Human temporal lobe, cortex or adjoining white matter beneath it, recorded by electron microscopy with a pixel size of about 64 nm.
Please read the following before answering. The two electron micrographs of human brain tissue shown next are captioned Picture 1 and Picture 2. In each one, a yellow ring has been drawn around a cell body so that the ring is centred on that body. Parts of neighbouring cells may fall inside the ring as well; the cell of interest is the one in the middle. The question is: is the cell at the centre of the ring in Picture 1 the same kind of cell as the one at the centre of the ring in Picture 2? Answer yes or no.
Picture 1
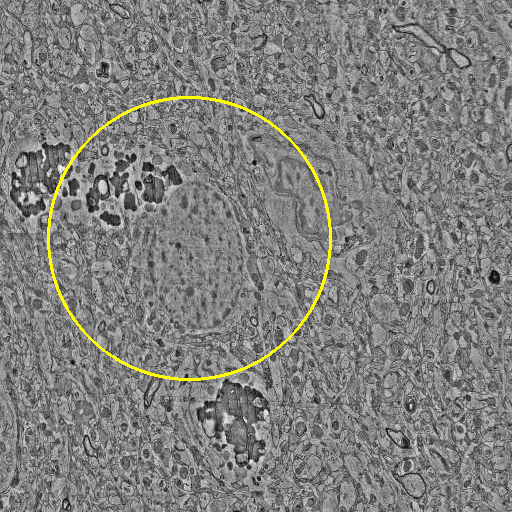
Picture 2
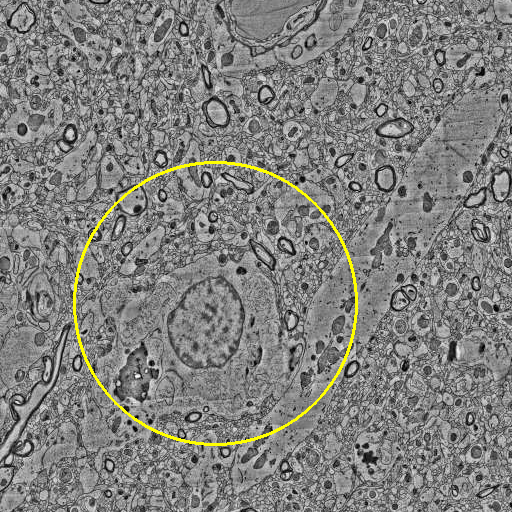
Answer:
yes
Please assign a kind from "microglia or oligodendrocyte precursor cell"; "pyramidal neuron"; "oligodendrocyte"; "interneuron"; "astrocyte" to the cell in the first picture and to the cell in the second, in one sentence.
The cell in the first picture is an astrocyte, and so is the one in the second.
